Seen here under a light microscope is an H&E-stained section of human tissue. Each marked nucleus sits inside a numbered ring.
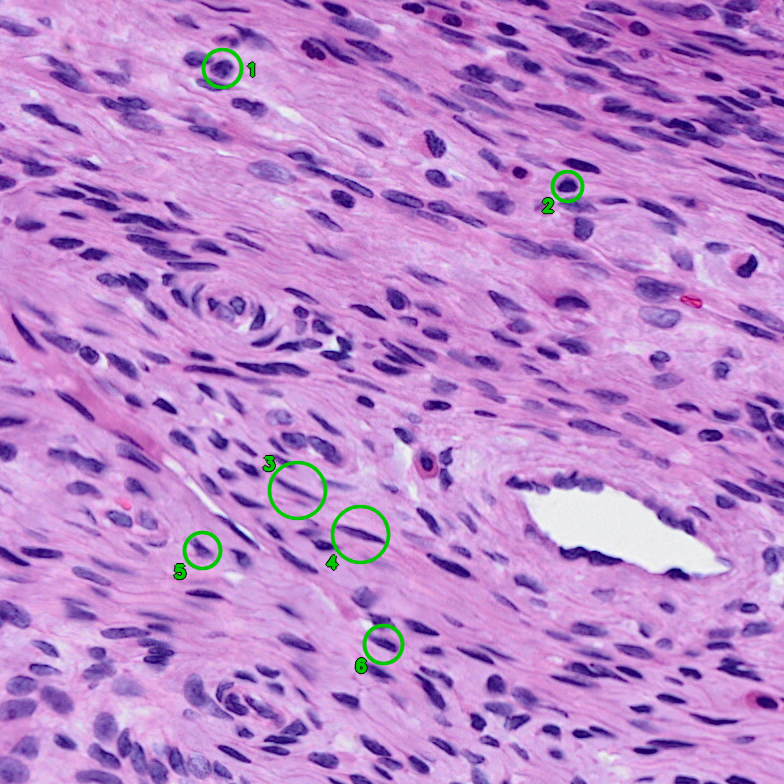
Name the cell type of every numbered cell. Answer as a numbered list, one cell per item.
1. lymphocyte
2. lymphocyte
3. fibroblast
4. fibroblast
5. fibroblast
6. fibroblast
